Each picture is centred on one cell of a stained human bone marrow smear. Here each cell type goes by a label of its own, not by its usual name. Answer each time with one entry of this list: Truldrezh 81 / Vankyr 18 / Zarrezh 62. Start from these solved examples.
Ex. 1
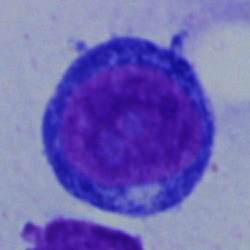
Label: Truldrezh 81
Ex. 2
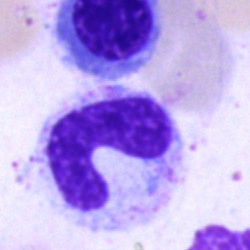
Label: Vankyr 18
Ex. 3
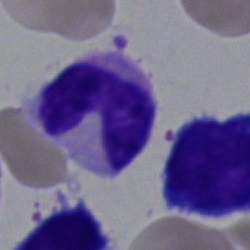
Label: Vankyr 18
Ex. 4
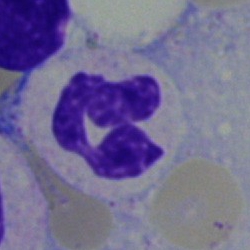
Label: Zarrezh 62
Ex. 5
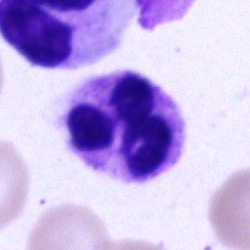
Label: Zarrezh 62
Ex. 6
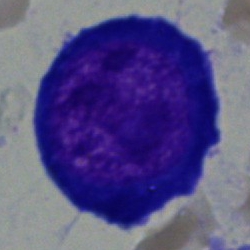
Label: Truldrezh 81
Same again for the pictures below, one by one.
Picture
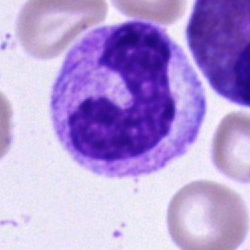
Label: Vankyr 18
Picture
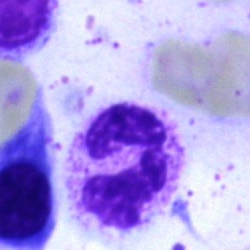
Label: Zarrezh 62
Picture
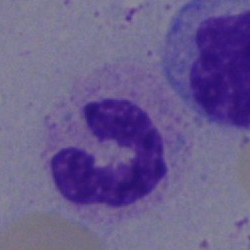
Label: Zarrezh 62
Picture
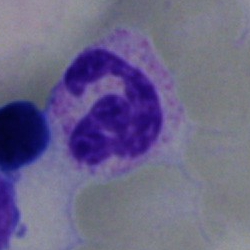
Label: Zarrezh 62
